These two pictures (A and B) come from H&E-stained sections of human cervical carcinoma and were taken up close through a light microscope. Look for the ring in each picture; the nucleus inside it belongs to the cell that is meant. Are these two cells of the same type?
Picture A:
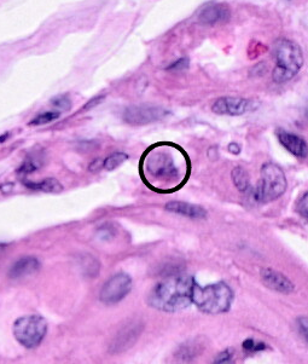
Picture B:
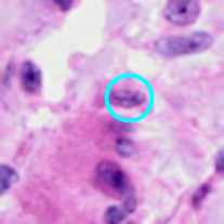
yes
